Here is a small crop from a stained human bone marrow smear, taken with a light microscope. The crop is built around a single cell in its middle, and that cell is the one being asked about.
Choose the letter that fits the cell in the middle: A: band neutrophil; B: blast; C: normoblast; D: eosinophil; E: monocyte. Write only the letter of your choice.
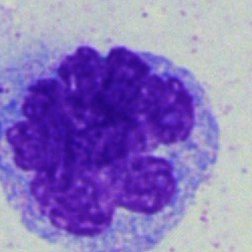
E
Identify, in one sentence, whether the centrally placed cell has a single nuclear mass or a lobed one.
Two or more lobes make up the nucleus of this cell.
